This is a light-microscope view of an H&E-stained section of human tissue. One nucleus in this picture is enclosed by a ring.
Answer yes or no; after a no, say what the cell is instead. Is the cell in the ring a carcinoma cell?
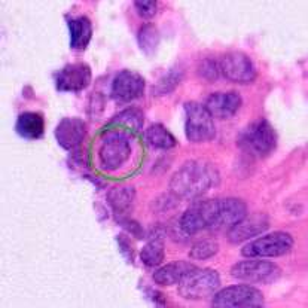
Yes.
